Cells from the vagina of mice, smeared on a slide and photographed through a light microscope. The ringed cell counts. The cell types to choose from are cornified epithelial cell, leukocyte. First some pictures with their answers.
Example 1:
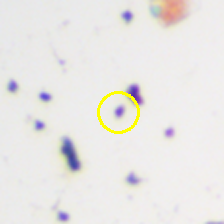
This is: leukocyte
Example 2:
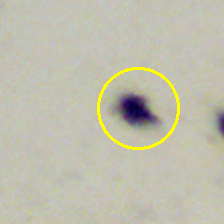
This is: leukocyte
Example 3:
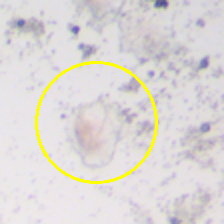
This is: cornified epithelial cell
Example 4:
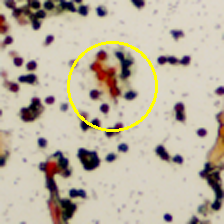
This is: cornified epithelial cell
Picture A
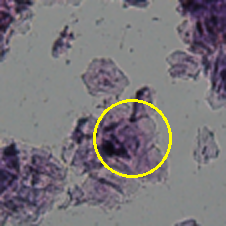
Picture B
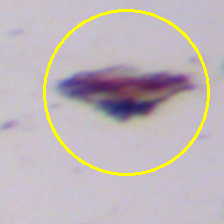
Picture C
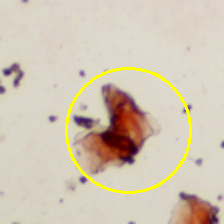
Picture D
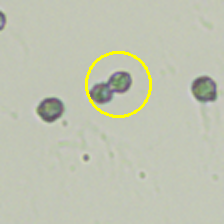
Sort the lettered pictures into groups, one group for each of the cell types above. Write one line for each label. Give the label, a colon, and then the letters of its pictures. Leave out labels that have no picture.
cornified epithelial cell: A, B, C
leukocyte: D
